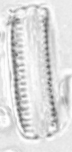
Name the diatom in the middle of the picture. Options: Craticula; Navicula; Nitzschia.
Nitzschia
